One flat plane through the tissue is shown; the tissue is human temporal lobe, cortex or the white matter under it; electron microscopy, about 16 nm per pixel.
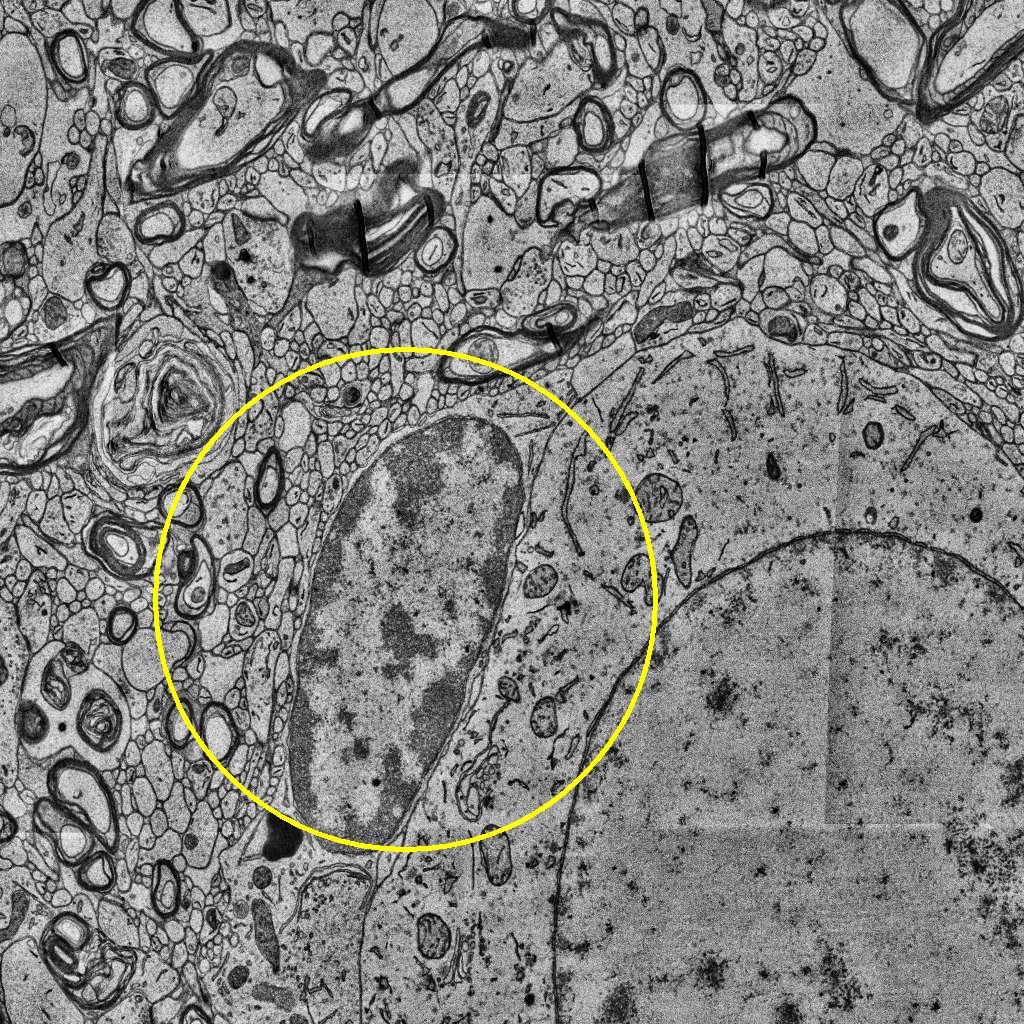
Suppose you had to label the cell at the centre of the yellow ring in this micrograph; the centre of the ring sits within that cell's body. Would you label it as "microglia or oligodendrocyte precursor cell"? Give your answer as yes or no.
Yes, I would label it that way.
